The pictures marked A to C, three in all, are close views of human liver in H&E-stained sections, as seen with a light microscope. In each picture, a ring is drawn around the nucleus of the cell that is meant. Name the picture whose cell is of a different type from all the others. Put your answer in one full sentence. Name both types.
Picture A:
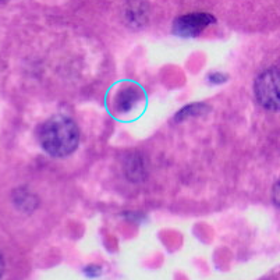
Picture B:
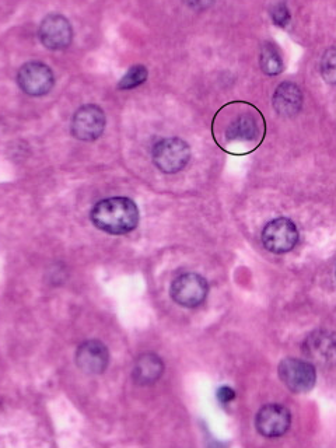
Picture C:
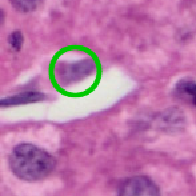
The others show Kupffer cells, but picture B shows an endothelial cell.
